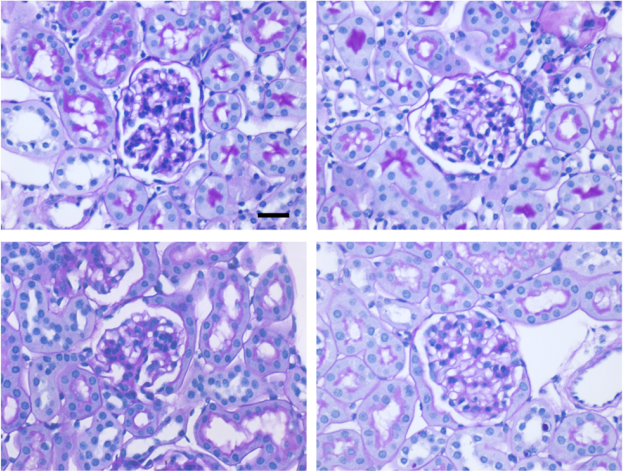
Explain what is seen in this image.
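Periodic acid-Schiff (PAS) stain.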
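Four fields of kidney cortex are shown. Each is centred on a glomerulus: a rounded tuft of capillary loops with dark blue nuclei, set in pink matrix and enclosed by a thin capsule and a narrow clear space. Around each glomerulus lie cross-sectioned tubules lined by cuboidal epithelial cells. Their round blue nuclei sit in a single row, and their pale pink cytoplasm ends in a magenta-staining luminal border, typical of proximal tubules. Some tubules have flatter linings and open lumens.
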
